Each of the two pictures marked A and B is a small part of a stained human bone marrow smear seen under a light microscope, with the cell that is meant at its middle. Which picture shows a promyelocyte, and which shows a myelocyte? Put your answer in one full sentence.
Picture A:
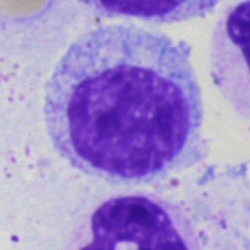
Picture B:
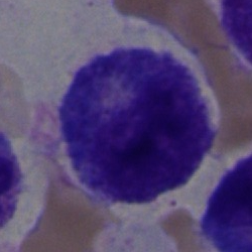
Picture B shows a promyelocyte, while picture A shows a myelocyte.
